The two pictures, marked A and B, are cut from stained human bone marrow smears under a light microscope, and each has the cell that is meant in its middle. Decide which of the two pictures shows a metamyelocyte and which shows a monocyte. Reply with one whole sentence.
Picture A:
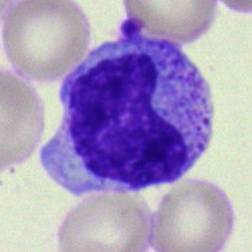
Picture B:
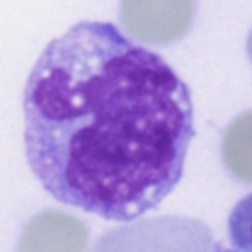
Picture A is of a metamyelocyte, and picture B is of a monocyte.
